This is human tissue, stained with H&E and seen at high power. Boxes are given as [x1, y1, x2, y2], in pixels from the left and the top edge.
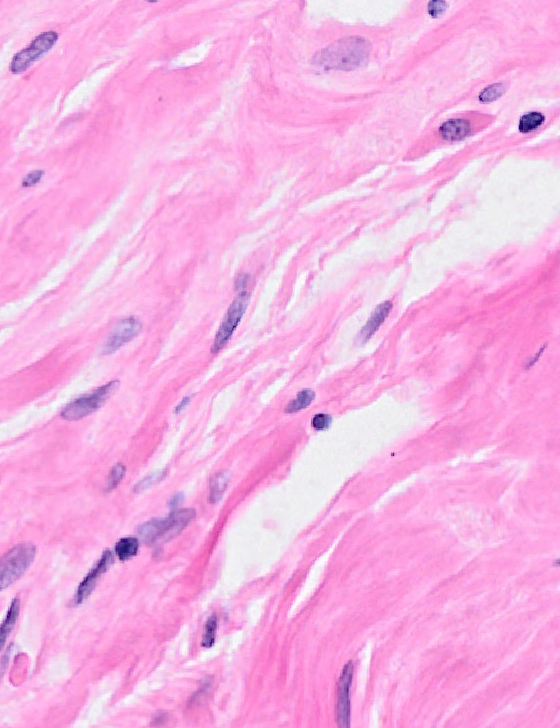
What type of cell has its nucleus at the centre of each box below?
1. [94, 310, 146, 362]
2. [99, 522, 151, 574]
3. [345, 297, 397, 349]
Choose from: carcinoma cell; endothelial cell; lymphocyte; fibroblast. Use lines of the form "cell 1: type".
cell 1: fibroblast
cell 2: lymphocyte
cell 3: fibroblast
